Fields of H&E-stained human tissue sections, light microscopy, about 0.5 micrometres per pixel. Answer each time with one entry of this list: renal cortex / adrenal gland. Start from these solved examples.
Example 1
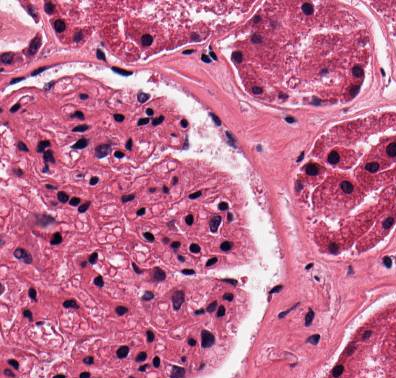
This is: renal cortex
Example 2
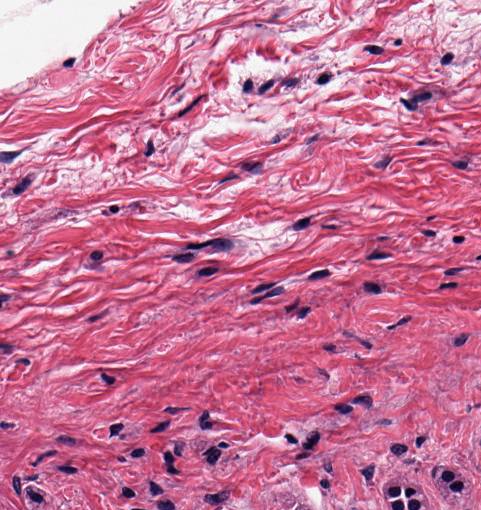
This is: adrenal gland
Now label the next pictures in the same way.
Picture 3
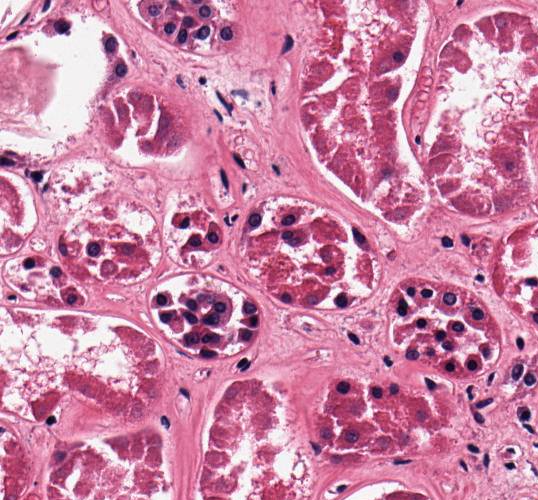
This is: renal cortex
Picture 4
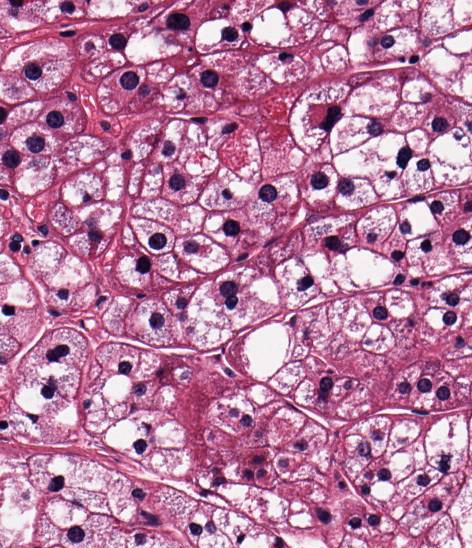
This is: adrenal gland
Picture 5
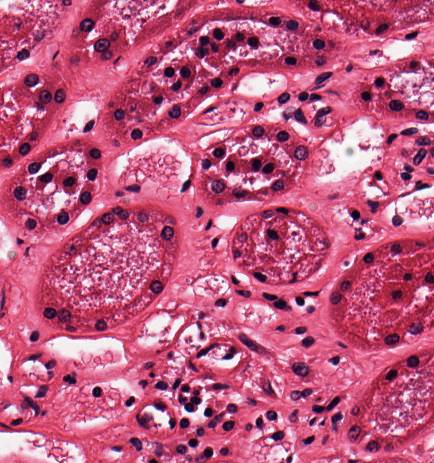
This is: renal cortex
